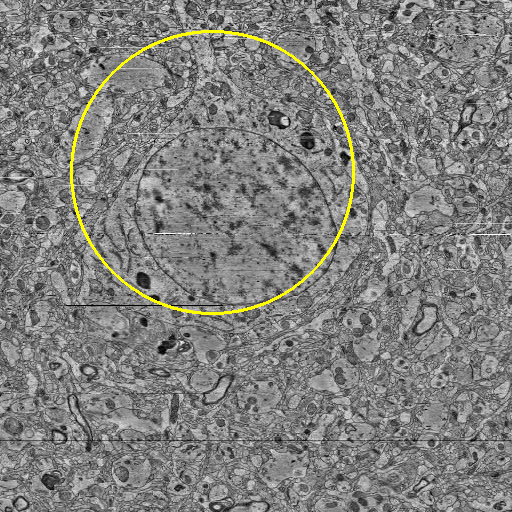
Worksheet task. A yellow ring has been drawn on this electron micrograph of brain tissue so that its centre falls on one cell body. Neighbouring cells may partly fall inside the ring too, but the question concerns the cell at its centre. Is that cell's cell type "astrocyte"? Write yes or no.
no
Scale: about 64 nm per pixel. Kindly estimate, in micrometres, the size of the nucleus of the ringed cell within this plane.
Approximately 13 by 12 micrometers in this plane.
